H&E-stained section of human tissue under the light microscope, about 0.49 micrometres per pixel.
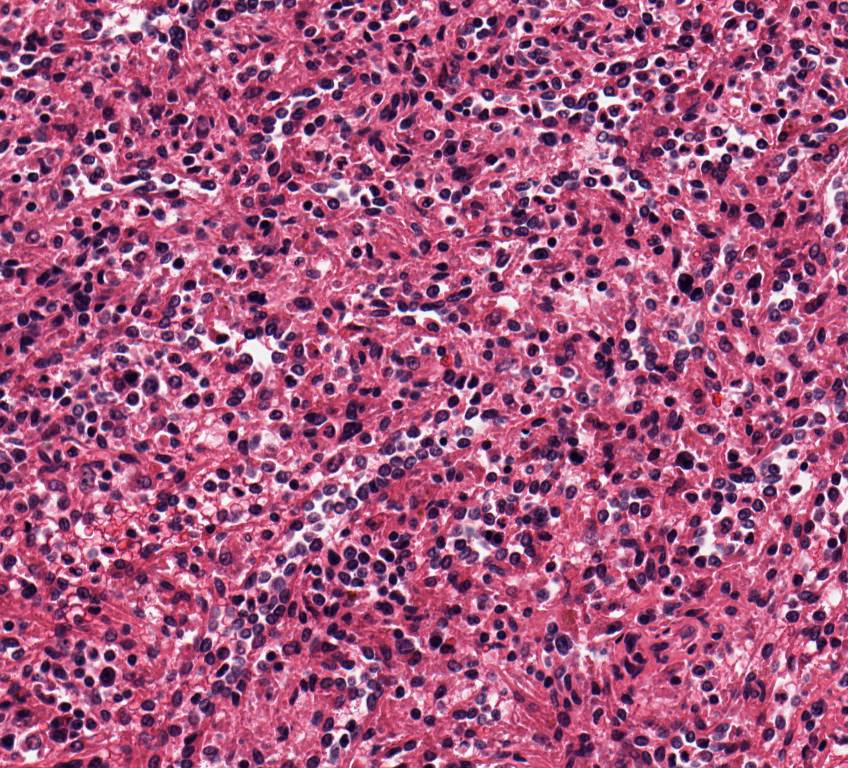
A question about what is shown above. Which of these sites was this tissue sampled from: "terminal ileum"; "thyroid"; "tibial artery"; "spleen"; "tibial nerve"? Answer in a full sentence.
The site this tissue was sampled from is the spleen.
